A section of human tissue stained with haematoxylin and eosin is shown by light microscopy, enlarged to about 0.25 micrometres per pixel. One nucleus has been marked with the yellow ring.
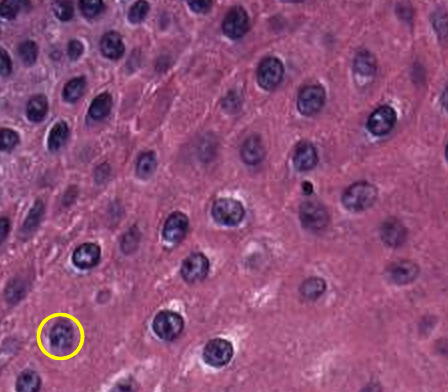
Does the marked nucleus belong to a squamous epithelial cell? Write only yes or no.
yes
